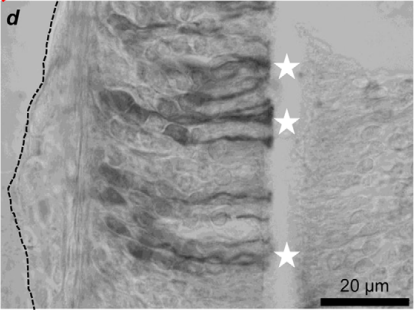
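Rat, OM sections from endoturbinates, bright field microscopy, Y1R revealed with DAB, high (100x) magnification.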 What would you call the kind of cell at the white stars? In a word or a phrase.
olfactory sensory neurons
